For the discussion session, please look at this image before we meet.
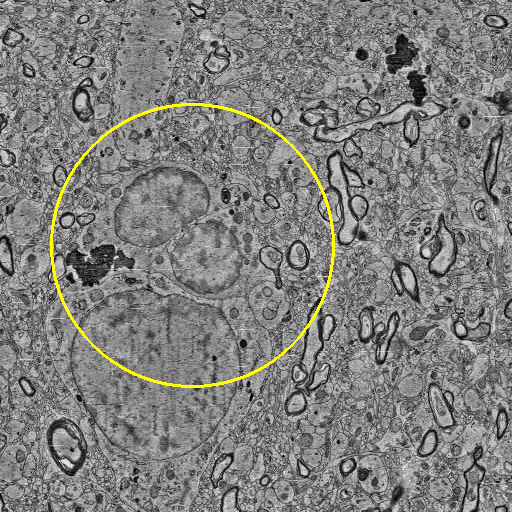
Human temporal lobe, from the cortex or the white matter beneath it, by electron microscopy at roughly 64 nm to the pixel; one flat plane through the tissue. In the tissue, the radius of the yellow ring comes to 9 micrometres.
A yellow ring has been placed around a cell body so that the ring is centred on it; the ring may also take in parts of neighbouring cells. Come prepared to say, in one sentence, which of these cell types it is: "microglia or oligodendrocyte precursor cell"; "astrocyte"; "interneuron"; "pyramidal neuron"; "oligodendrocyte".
The cell centred in the ring is an oligodendrocyte.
